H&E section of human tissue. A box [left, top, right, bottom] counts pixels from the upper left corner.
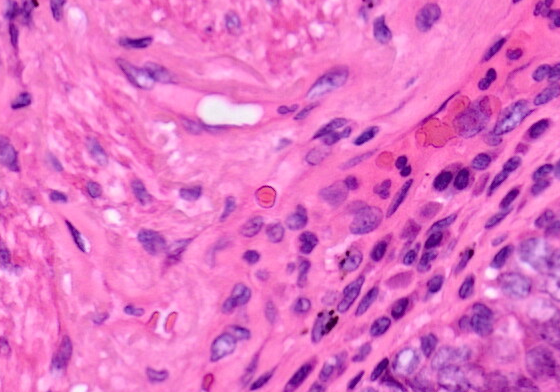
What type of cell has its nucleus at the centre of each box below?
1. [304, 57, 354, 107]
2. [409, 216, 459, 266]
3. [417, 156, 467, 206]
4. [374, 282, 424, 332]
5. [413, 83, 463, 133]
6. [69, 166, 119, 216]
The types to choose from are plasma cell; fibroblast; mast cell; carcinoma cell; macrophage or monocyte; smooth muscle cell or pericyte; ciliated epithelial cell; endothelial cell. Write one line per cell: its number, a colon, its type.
1: endothelial cell
2: plasma cell
3: plasma cell
4: plasma cell
5: endothelial cell
6: smooth muscle cell or pericyte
